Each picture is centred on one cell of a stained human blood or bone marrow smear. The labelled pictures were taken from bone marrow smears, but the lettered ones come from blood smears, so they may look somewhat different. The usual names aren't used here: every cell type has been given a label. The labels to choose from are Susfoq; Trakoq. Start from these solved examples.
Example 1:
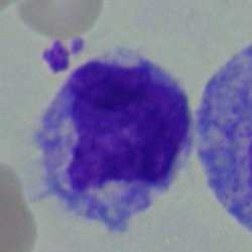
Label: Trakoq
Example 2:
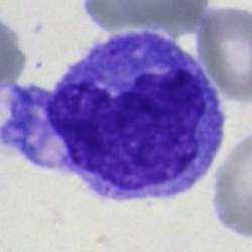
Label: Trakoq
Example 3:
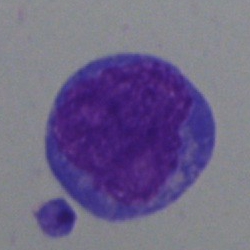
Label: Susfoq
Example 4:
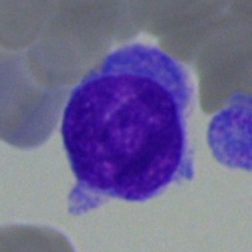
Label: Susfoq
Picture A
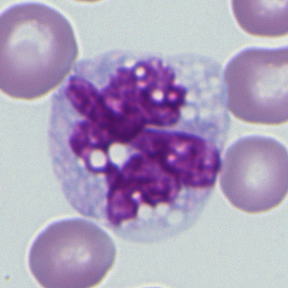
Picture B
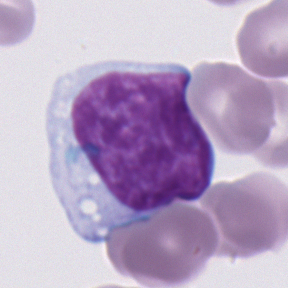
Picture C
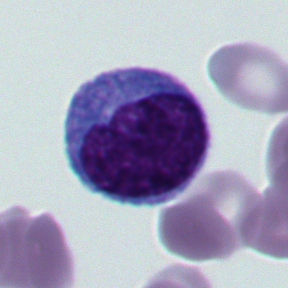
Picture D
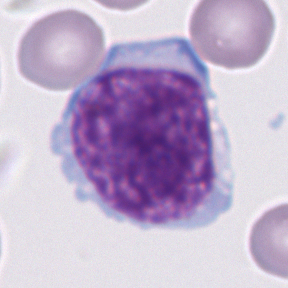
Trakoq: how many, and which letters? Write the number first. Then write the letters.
2: A, C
